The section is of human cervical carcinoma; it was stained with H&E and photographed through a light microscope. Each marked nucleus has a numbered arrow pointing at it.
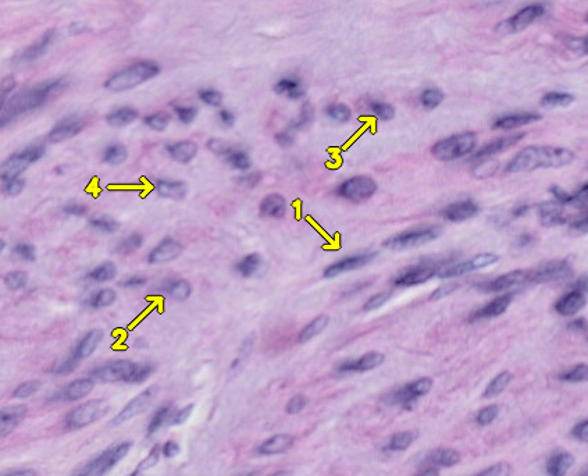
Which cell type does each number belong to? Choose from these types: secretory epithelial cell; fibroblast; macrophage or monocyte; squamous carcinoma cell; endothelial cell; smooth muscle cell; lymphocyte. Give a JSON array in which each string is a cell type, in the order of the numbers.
["fibroblast", "smooth muscle cell", "smooth muscle cell", "smooth muscle cell"]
